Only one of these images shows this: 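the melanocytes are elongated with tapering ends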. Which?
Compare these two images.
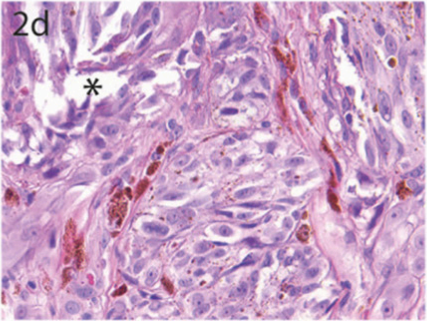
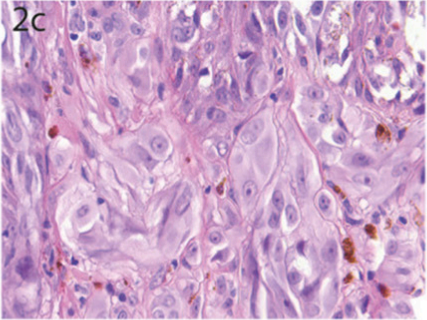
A: The first image.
